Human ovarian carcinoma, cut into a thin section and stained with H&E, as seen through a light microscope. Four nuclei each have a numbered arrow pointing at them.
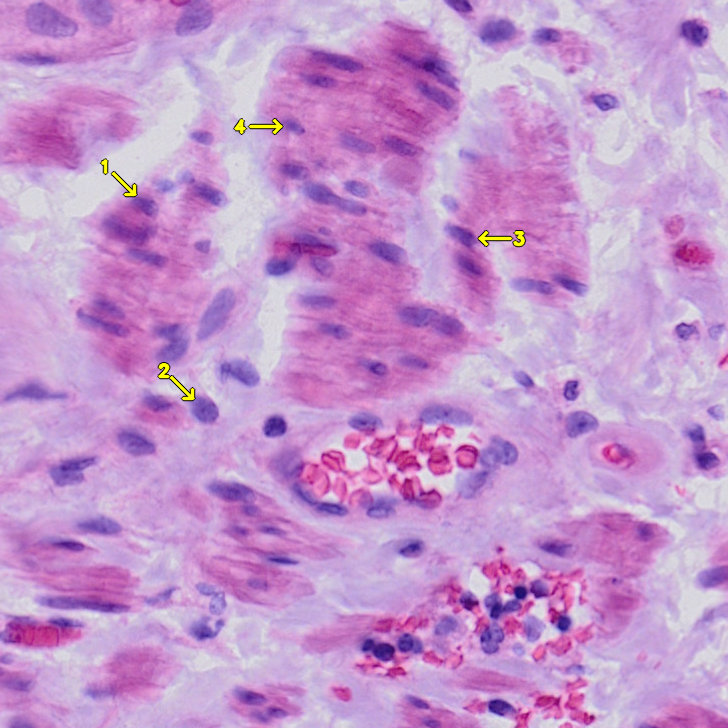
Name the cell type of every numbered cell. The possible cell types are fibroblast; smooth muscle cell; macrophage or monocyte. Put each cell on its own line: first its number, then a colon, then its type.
1: smooth muscle cell
2: fibroblast
3: smooth muscle cell
4: smooth muscle cell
